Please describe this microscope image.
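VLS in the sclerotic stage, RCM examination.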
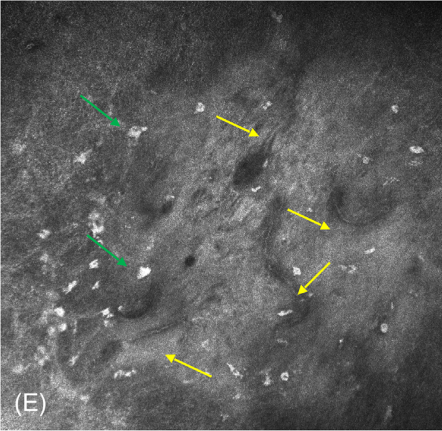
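This reflectance confocal image shows the dermis with many dark channel-like vessels and bright cellular structures. Small, plump, very bright cellular structures are scattered around and between these channels, some gathered at the left side. The background has a fine streaky fibrous texture.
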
